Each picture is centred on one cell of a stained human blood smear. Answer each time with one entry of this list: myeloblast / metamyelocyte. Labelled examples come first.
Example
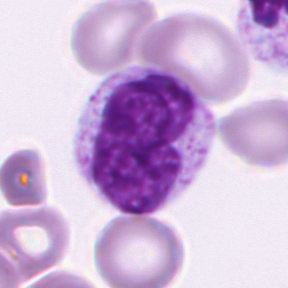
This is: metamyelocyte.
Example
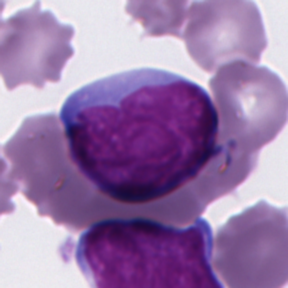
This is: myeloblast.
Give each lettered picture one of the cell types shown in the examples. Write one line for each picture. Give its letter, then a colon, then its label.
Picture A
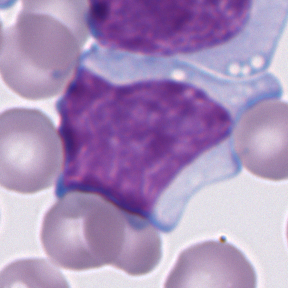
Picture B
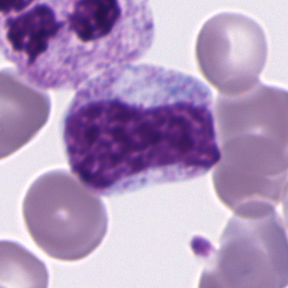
A: myeloblast.
B: metamyelocyte.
